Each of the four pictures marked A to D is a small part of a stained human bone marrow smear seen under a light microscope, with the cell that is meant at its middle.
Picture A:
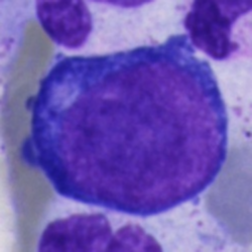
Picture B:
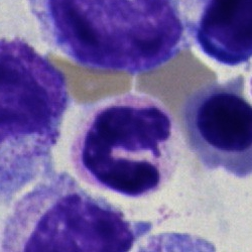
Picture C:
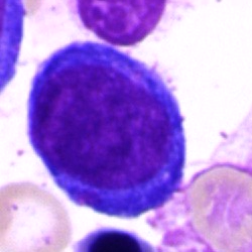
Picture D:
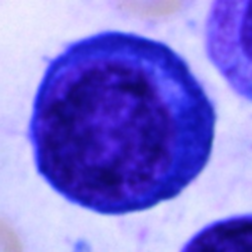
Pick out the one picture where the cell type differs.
B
